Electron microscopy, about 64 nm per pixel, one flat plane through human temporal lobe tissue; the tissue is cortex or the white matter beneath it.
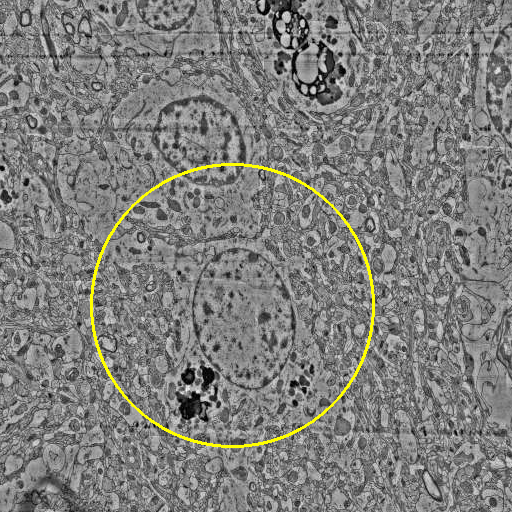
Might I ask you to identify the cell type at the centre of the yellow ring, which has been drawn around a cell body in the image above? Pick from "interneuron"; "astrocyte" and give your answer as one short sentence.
The centre of the ring falls on an astrocyte.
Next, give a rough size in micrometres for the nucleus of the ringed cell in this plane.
In this plane, approximately 9 by 6 micrometers.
